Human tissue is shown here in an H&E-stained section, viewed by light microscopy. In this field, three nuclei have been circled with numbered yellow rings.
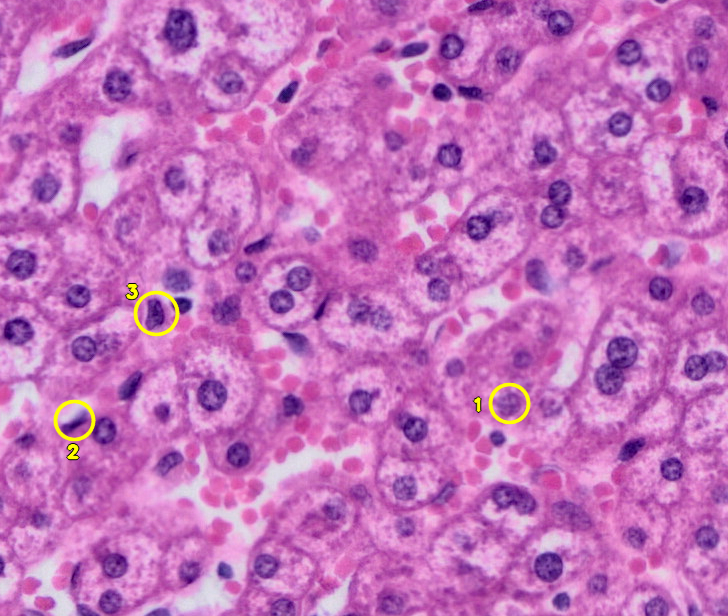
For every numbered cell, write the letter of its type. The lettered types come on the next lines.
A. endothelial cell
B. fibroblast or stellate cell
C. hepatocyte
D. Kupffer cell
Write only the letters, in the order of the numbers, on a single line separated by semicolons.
C; A; D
